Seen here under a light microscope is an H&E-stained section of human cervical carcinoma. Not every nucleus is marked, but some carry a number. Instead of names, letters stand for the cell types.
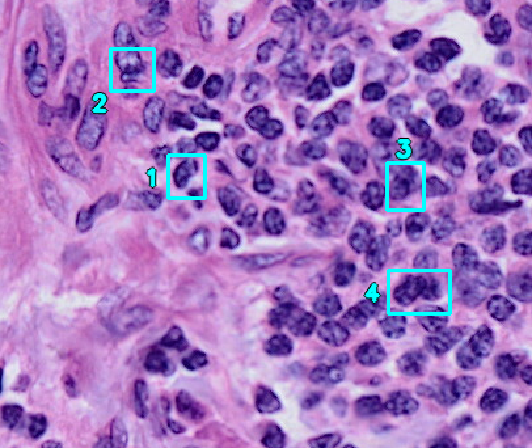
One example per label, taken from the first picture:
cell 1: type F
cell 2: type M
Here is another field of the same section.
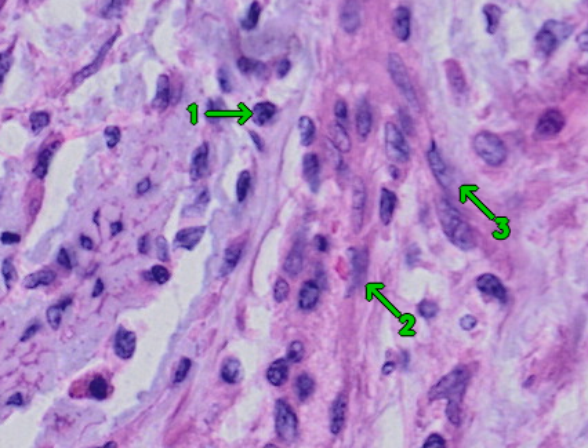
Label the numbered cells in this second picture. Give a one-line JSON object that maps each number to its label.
{"1": "type F", "2": "type M", "3": "type M"}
